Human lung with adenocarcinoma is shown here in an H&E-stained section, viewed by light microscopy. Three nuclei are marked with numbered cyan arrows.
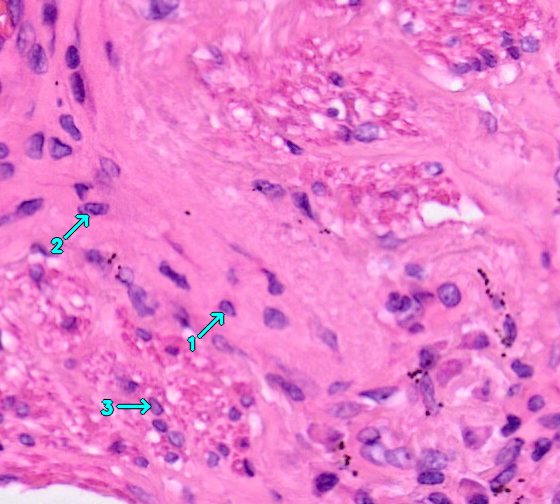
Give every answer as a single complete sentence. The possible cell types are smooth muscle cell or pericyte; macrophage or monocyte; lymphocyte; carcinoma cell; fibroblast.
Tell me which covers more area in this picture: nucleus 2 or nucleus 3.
The larger nucleus is 2, at roughly 1.5 times the area of 3.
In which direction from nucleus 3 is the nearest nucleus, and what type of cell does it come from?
Lying below nucleus 3, the nearest nucleus is that of a smooth muscle cell or pericyte.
